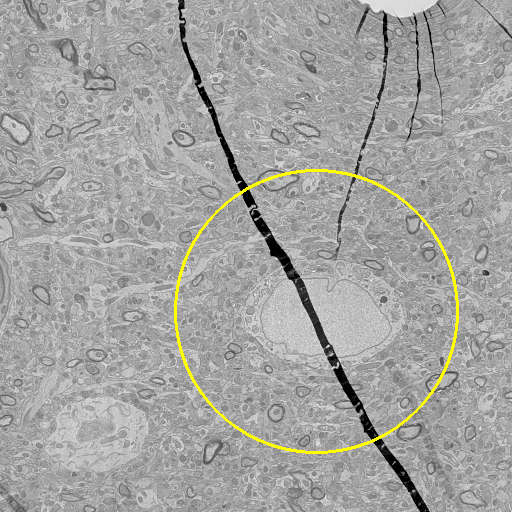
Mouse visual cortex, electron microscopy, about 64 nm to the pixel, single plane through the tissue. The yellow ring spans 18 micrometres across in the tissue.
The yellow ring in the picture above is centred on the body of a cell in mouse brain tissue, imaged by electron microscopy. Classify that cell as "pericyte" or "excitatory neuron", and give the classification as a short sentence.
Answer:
The cell in the middle of the ring is an excitatory neuron.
